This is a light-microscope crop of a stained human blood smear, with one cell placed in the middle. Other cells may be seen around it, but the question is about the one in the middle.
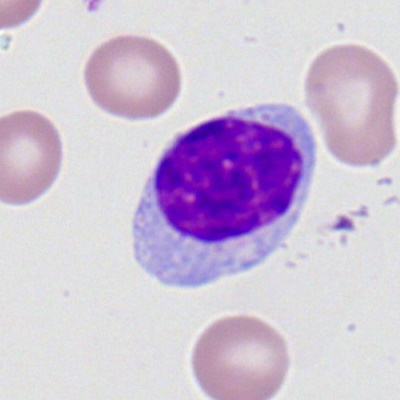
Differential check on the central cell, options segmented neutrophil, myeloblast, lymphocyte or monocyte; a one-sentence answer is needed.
The cell in the middle of this crop is a lymphocyte.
